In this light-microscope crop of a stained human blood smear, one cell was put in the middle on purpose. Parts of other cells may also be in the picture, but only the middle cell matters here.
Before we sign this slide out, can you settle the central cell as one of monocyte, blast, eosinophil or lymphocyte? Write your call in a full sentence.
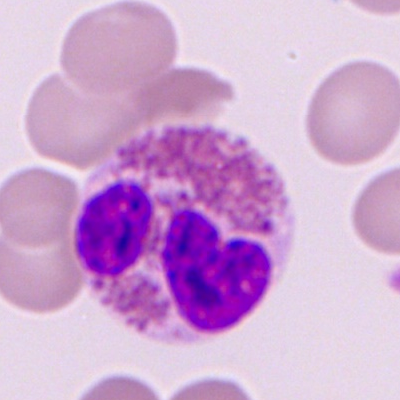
Standing at the centre of this crop is an eosinophil.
